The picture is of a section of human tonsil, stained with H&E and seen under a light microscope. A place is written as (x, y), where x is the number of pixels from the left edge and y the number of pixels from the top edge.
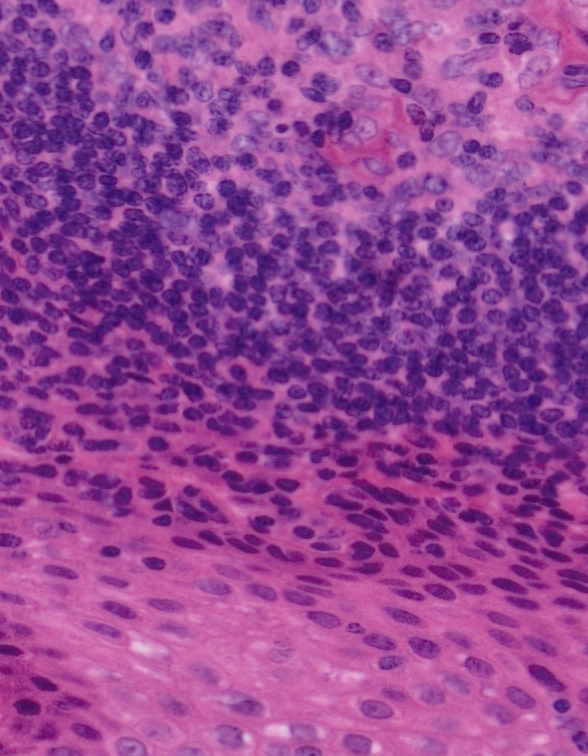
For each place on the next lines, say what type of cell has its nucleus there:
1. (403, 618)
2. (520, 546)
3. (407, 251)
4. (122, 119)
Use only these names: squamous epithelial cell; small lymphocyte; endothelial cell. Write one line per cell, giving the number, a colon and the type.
1: squamous epithelial cell
2: squamous epithelial cell
3: small lymphocyte
4: small lymphocyte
